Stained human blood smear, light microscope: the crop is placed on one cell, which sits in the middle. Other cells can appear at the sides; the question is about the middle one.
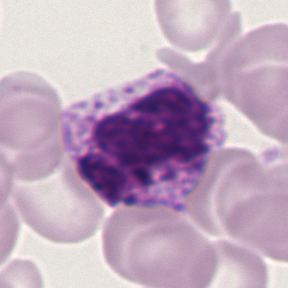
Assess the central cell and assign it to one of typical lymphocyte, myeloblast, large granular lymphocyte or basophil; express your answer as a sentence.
In the middle of this smear crop is a basophil.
